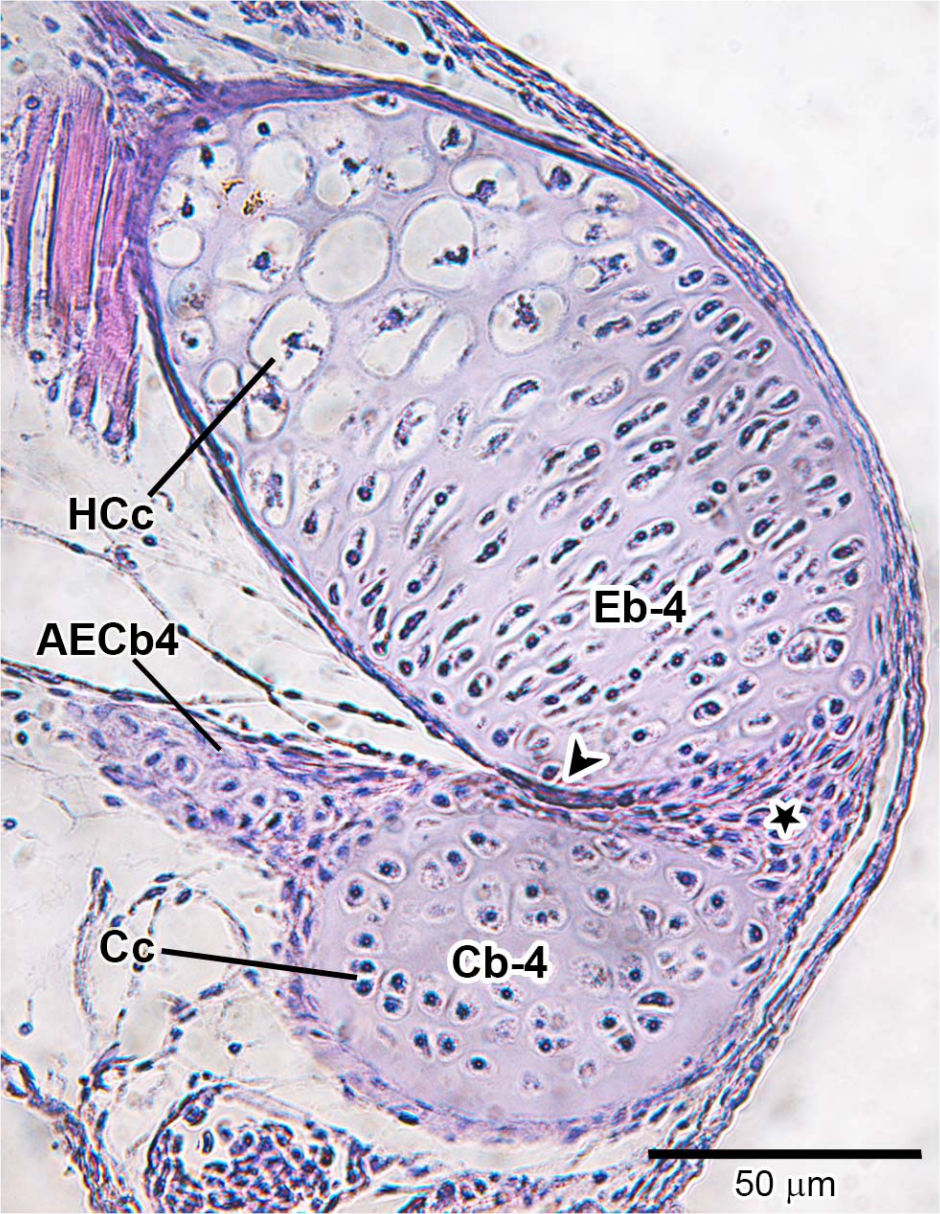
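This is the joint region where two cartilage elements of the gill arch meet. The upper element holds very large, swollen, pale chondrocytes toward its upper end and flattened chondrocytes stacked in rows further down, whereas the lower element has smaller rounded chondrocytes, often in small groups, in a pale violet matrix.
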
